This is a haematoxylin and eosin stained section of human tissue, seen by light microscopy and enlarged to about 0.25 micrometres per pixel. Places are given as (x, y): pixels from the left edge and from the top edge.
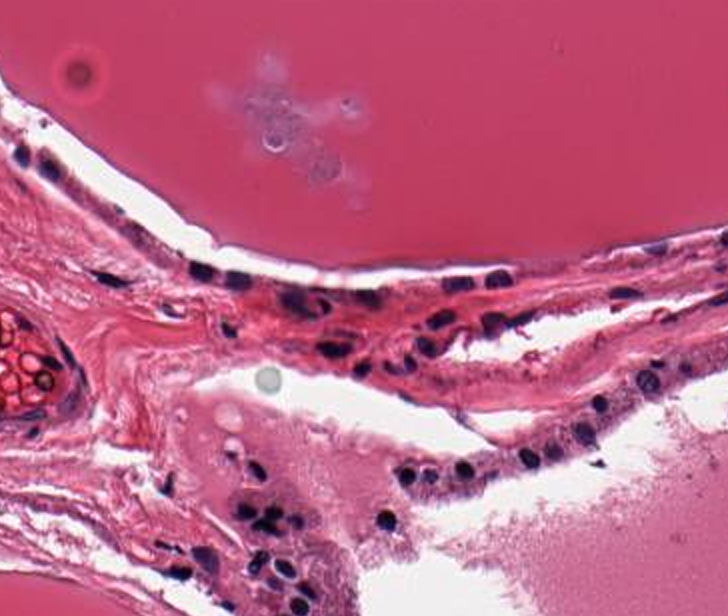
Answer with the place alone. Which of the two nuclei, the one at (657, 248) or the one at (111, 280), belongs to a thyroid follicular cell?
(657, 248)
